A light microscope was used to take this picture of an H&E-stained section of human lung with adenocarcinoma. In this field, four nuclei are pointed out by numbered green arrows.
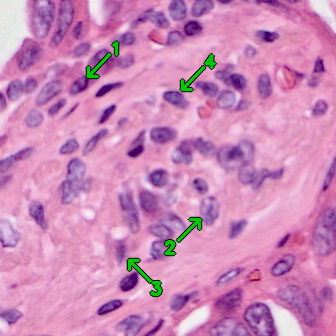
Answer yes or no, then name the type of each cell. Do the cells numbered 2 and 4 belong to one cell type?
Yes, the two cells, 2 and 4, are both lymphocytes.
